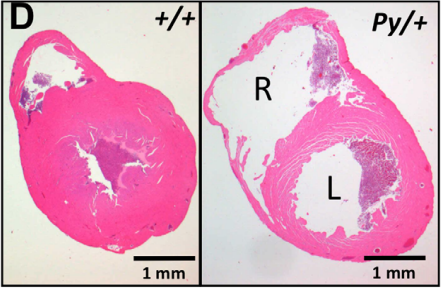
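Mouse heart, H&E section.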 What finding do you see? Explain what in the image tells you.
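In the right-hand section both ventricular cavities are wide and open. The right-hand section has thinner walls around large cavities than the left-hand one.
Answer: distended ventricles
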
